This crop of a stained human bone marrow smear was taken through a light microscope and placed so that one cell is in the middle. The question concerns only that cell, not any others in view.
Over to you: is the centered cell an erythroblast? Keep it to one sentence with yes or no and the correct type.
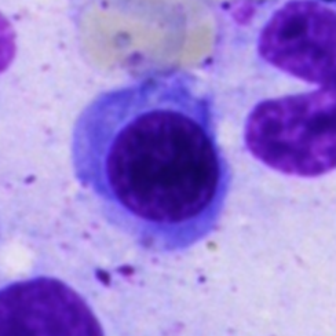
Yes, an erythroblast is the cell positioned in the middle of the field.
